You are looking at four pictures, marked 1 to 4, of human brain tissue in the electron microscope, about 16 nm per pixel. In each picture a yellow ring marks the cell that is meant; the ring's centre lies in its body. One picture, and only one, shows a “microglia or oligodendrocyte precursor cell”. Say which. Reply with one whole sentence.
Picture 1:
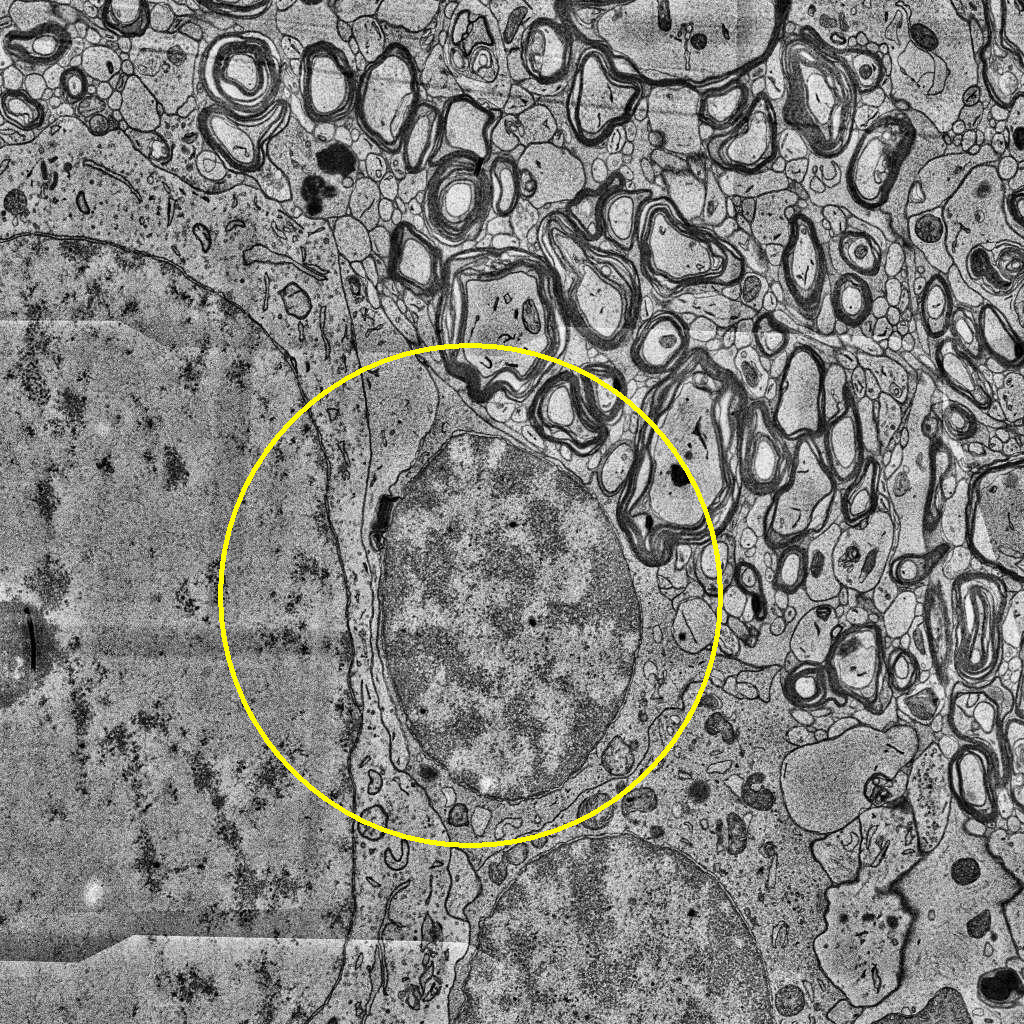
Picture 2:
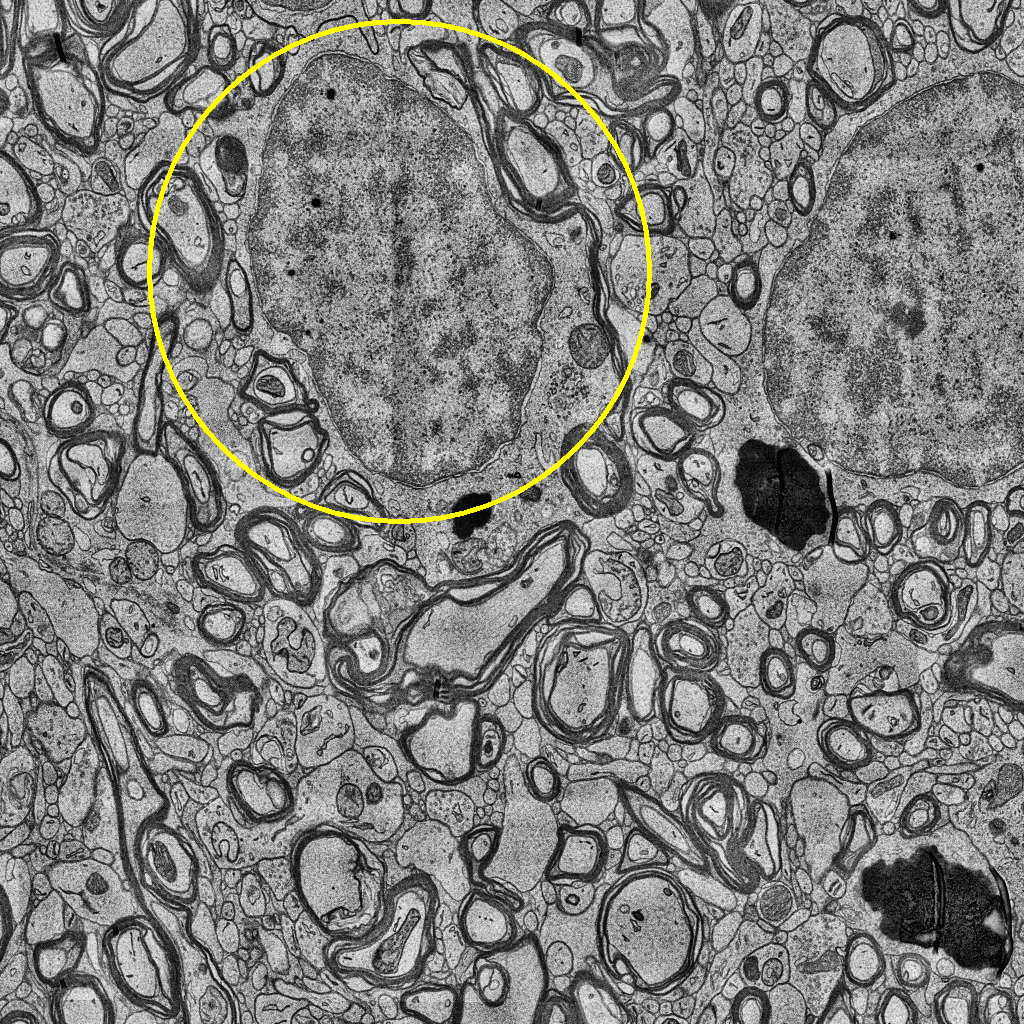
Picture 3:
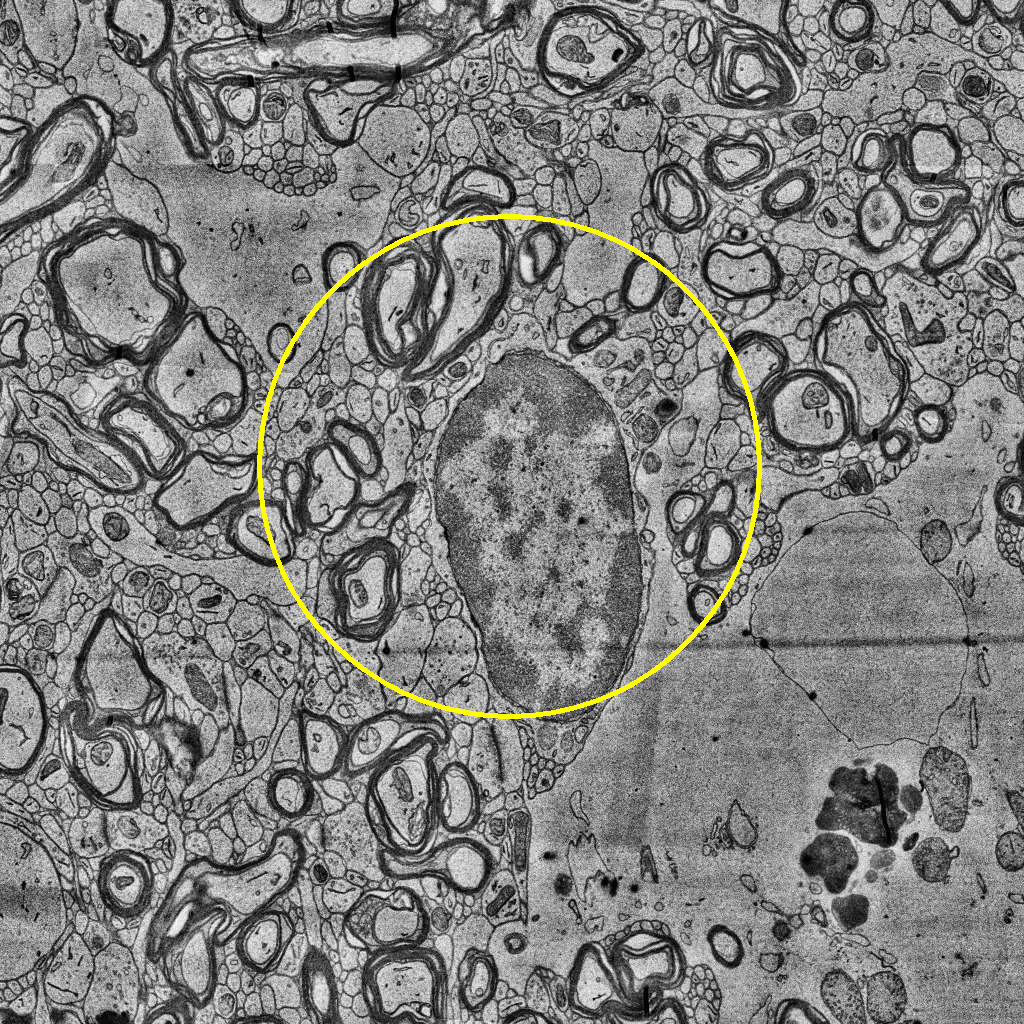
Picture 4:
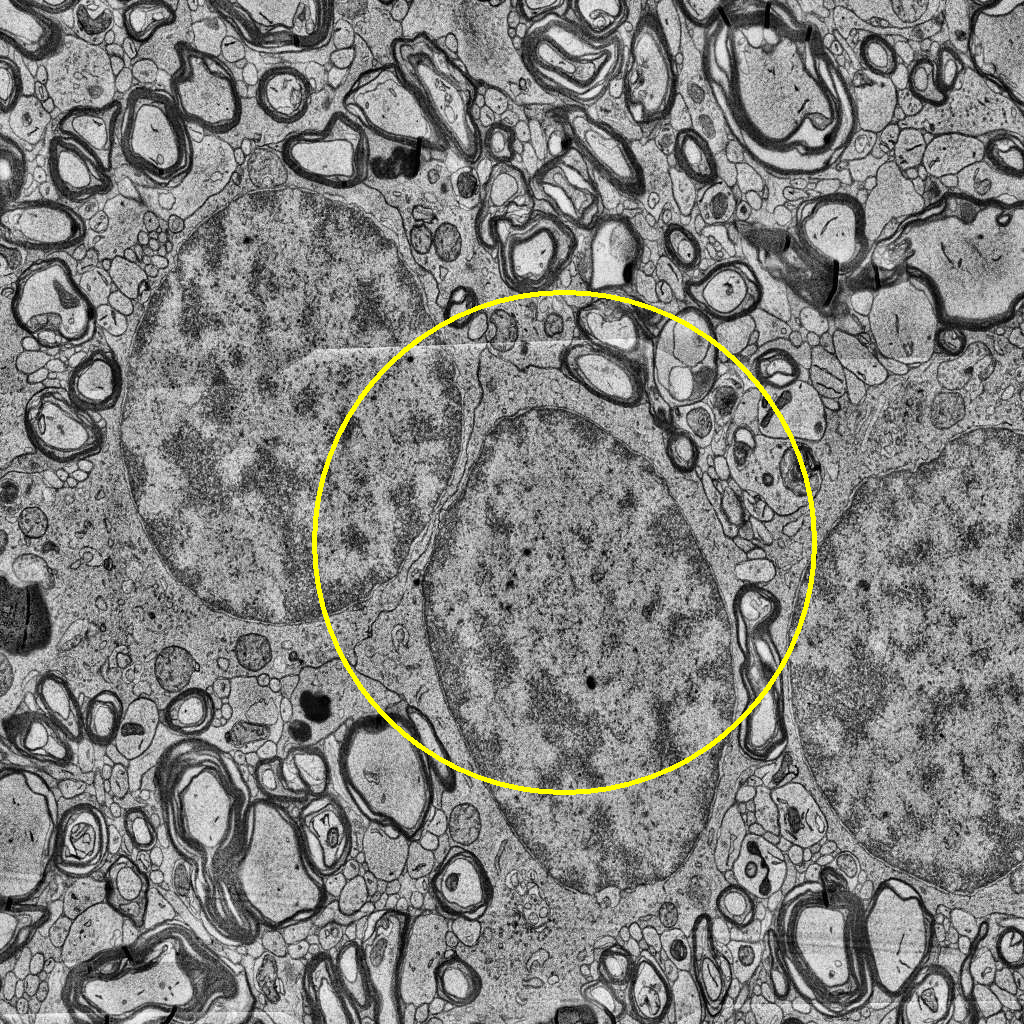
The cell in picture 3 is the “microglia or oligodendrocyte precursor cell”.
